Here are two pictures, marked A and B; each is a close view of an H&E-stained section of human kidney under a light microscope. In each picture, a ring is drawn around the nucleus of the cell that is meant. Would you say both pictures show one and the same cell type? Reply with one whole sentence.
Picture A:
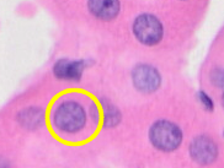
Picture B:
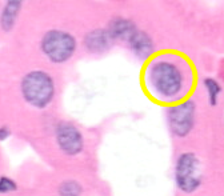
No, they differ: the cell is a proximal tubule cell in picture A and a “loop of Henle or distal tubule cell” in picture B.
